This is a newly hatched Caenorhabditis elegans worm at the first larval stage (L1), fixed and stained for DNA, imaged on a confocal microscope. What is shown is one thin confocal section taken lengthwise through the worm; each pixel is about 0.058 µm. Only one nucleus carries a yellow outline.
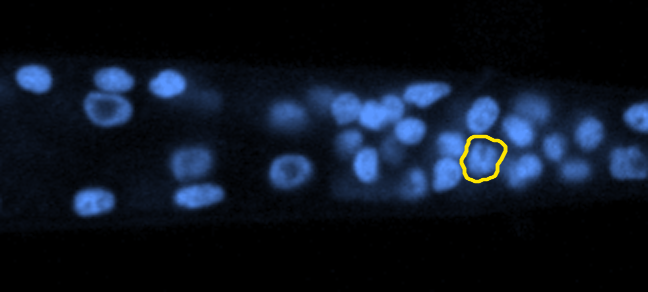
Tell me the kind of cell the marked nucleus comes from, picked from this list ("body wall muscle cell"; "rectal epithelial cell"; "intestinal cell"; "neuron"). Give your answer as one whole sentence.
The marked nucleus is that of a neuron.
